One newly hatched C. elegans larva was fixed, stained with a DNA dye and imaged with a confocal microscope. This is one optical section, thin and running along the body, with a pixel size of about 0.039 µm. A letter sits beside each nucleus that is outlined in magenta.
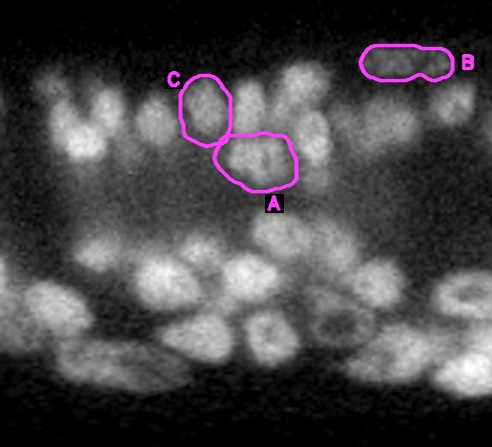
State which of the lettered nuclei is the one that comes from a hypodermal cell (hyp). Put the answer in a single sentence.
B is the nucleus of a hypodermal cell (hyp).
